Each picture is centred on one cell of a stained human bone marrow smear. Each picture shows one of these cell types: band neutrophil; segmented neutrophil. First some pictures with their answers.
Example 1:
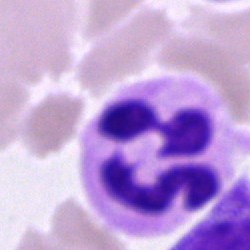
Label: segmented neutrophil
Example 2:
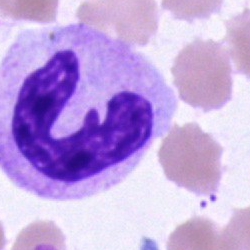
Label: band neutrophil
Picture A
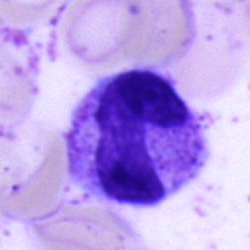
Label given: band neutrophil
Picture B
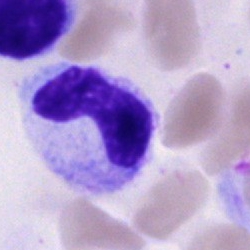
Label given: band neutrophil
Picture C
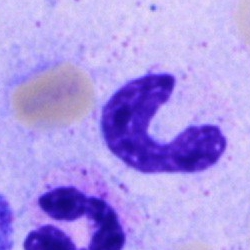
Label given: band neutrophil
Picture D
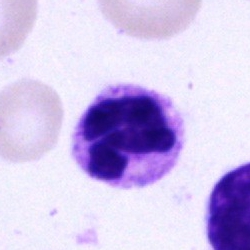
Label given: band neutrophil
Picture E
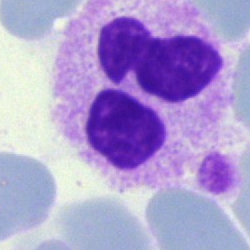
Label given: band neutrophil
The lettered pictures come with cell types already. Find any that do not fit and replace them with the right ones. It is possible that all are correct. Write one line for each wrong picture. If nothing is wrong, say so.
D is labelled band neutrophil; correct label: segmented neutrophil
E is labelled band neutrophil; correct label: segmented neutrophil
